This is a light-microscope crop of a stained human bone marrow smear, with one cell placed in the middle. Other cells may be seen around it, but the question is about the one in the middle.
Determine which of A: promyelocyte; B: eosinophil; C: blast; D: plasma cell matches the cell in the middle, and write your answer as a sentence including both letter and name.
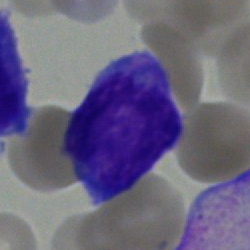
Here the right option is C, as the cell in the middle is a blast.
